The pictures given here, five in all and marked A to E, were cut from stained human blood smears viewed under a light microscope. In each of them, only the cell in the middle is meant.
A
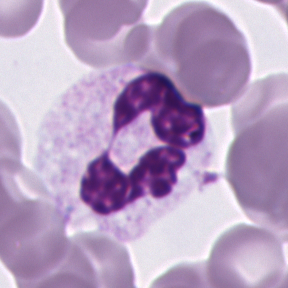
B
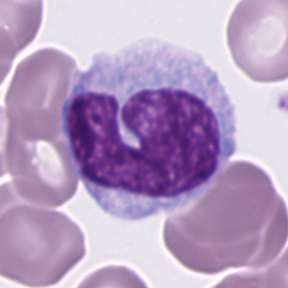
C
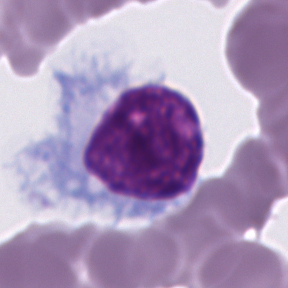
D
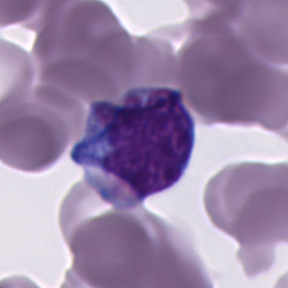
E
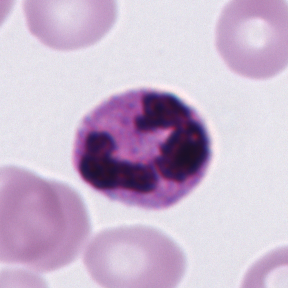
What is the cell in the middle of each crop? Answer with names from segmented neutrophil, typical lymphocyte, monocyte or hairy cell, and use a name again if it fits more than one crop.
A: segmented neutrophil
B: monocyte
C: hairy cell
D: typical lymphocyte
E: segmented neutrophil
